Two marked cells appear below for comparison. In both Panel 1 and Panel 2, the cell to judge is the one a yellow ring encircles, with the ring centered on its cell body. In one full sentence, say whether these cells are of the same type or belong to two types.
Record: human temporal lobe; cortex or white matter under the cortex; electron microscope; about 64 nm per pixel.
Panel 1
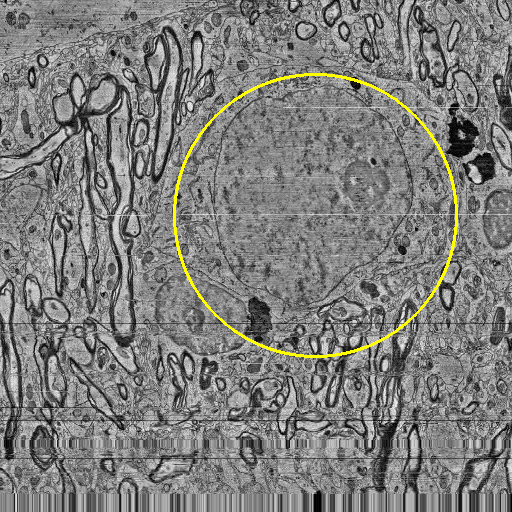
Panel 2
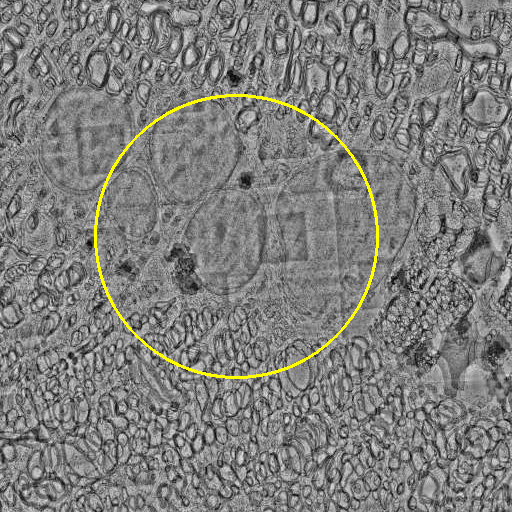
The cell centered in the Panel 1 ring and the one in Panel 2 belong to two types.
